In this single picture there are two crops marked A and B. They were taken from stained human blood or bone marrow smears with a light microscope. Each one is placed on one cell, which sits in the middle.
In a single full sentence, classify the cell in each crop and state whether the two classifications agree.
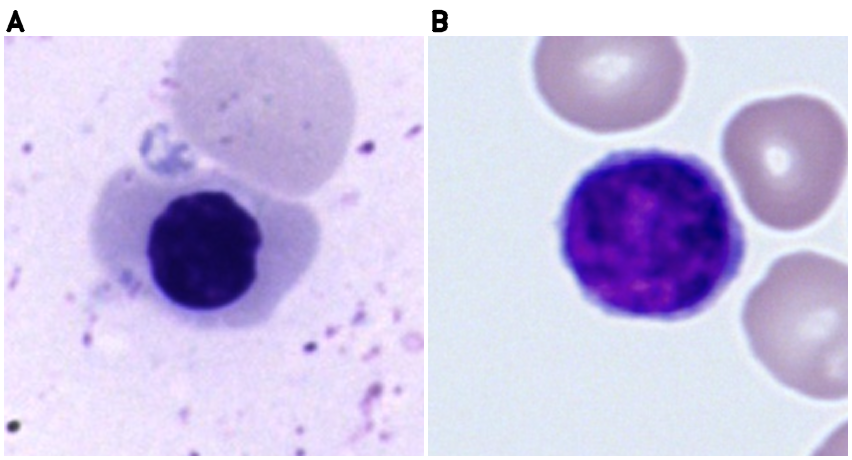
No, in this case crop A shows an erythroblast, and crop B shows a lymphocyte.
